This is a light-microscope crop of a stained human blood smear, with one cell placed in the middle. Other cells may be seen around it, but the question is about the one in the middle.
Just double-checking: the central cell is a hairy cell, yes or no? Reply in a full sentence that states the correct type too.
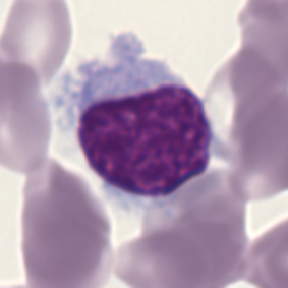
Yes, the identification of the central cell as a hairy cell is correct.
